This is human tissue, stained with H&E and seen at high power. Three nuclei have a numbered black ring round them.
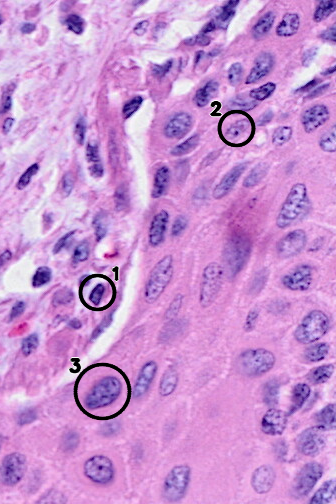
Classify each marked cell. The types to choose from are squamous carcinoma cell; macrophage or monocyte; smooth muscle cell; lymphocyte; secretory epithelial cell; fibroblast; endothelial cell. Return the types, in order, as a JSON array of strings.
["lymphocyte", "squamous carcinoma cell", "squamous carcinoma cell"]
